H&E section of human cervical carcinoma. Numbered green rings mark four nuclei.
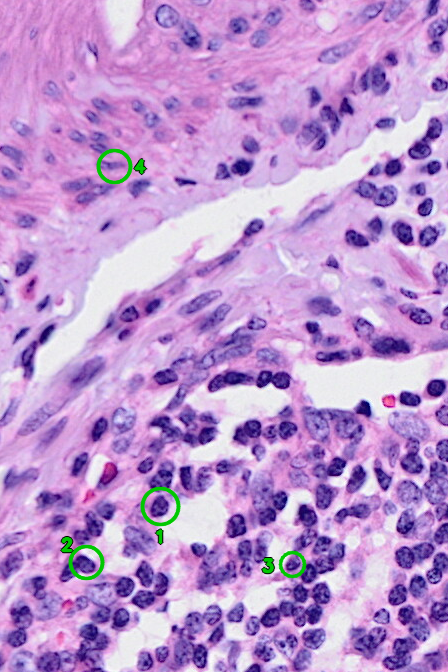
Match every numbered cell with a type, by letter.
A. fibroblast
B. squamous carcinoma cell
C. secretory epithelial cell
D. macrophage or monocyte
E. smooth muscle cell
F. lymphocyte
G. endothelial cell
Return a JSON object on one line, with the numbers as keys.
{"1": "F", "2": "F", "3": "F", "4": "E"}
